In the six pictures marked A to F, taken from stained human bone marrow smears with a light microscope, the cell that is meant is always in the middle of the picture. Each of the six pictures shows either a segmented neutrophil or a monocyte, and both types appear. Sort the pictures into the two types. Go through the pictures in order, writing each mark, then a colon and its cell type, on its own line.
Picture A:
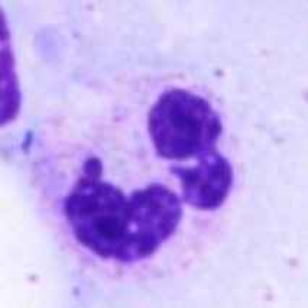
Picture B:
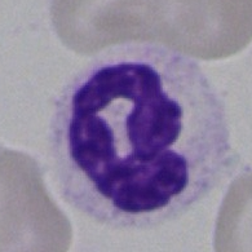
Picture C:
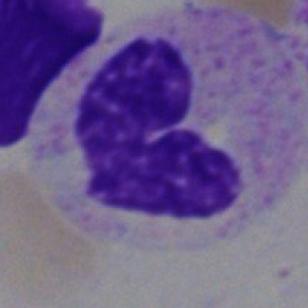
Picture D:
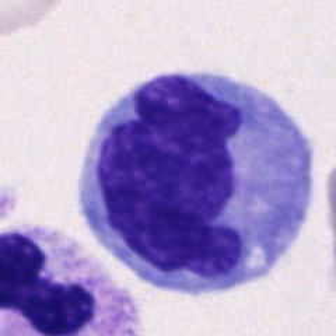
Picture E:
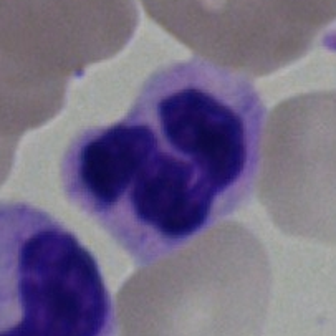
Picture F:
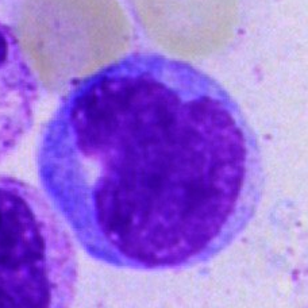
A: segmented neutrophil
B: segmented neutrophil
C: segmented neutrophil
D: monocyte
E: segmented neutrophil
F: monocyte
